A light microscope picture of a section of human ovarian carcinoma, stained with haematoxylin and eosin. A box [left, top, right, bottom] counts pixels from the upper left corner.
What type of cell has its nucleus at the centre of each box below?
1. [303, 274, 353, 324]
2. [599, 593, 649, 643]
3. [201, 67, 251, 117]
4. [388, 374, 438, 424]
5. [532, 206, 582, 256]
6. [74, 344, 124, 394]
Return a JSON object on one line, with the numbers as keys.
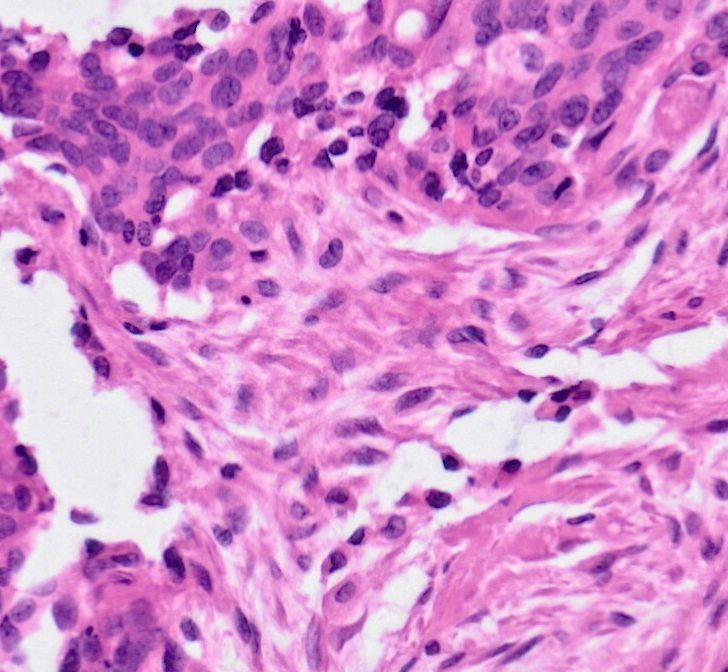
{"1": "fibroblast", "2": "fibroblast", "3": "carcinoma cell", "4": "fibroblast", "5": "fibroblast", "6": "carcinoma cell"}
